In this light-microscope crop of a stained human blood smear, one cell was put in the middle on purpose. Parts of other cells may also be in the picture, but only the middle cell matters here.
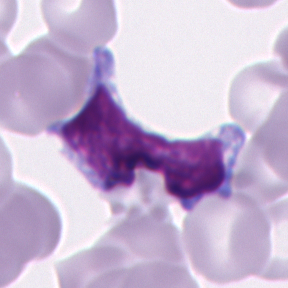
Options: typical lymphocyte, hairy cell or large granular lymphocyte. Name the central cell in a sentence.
Seen at the centre of the crop is a typical lymphocyte.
